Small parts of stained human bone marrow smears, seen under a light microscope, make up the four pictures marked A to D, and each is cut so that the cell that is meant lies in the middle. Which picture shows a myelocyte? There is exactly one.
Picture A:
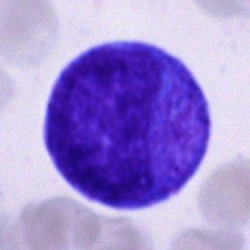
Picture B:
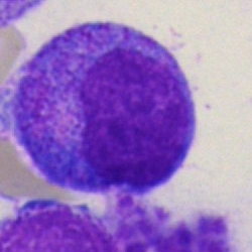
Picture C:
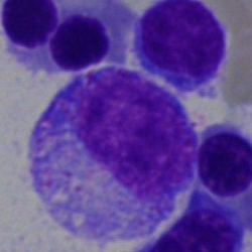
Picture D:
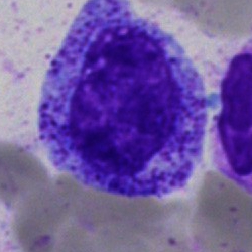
D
